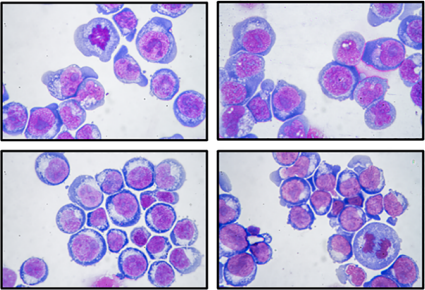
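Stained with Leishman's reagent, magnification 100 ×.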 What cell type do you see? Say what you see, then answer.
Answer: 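Erythroblasts. A narrow rim of deep blue cytoplasm around each nucleus. Nuclei with finely granular chromatin filling most of each cell.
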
